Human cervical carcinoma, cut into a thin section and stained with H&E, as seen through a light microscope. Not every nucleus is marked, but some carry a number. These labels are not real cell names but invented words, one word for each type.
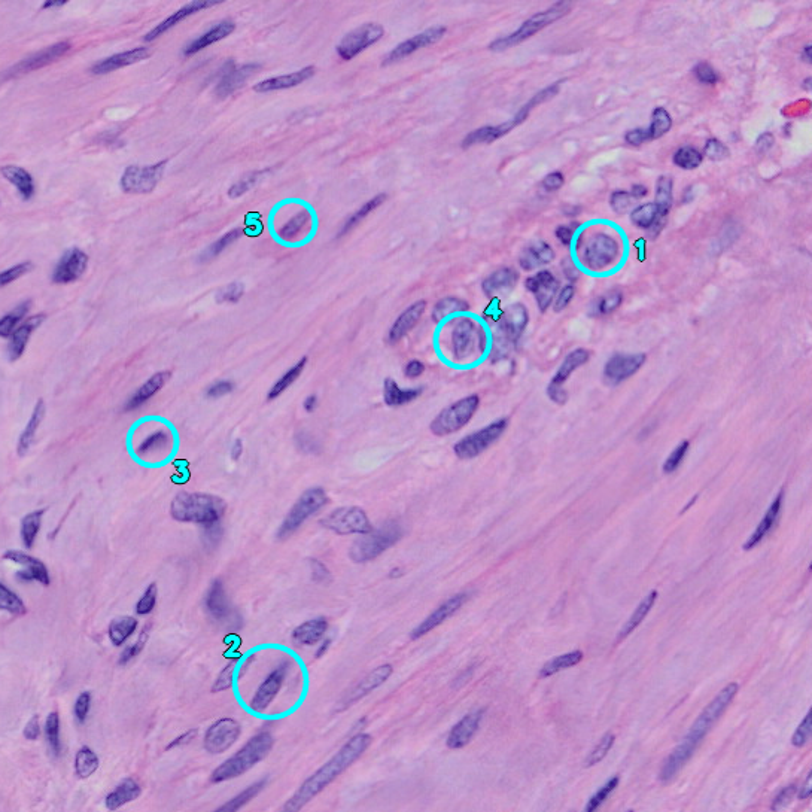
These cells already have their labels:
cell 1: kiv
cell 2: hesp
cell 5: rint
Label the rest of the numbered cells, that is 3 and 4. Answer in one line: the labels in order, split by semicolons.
hesp; kiv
